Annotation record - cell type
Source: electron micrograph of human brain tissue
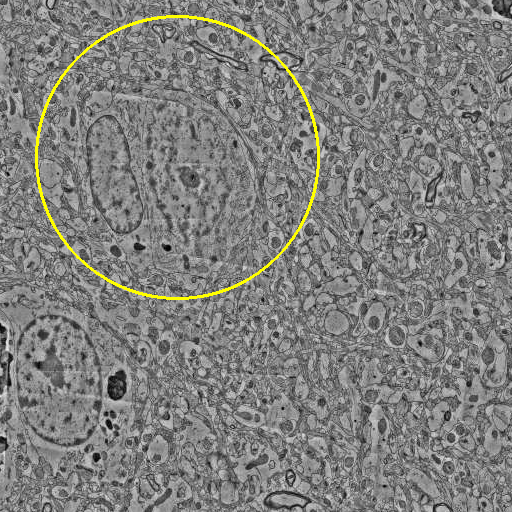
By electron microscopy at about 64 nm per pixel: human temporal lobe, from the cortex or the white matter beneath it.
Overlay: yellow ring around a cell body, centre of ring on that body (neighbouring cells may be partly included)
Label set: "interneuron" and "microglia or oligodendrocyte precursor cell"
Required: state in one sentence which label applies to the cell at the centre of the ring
This cell should be labelled as an interneuron.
